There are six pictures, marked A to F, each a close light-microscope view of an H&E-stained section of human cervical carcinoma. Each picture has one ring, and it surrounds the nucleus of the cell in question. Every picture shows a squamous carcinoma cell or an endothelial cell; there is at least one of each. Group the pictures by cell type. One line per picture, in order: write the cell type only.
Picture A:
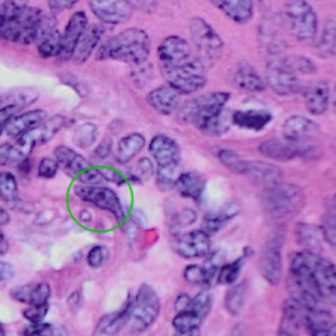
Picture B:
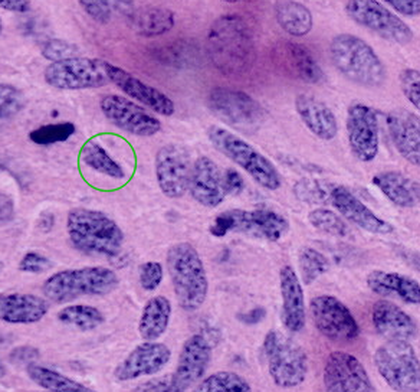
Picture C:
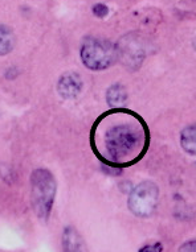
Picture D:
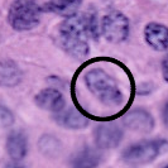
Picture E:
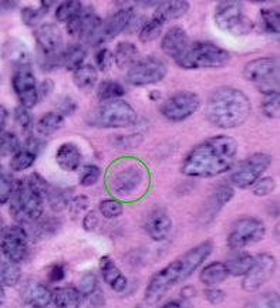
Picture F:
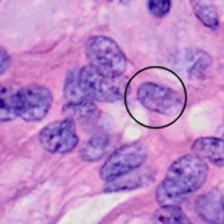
endothelial cell
squamous carcinoma cell
squamous carcinoma cell
squamous carcinoma cell
squamous carcinoma cell
endothelial cell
